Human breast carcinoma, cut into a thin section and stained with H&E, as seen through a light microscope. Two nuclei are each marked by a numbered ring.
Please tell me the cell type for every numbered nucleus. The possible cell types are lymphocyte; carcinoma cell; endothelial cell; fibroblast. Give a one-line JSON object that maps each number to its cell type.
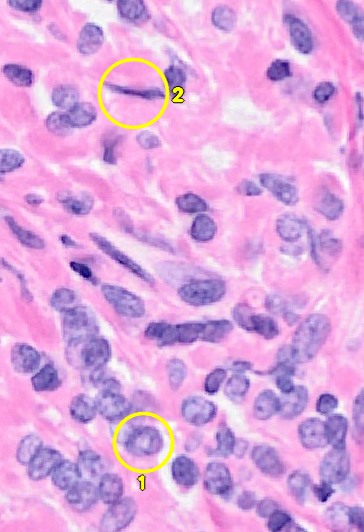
{"1": "carcinoma cell", "2": "fibroblast"}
